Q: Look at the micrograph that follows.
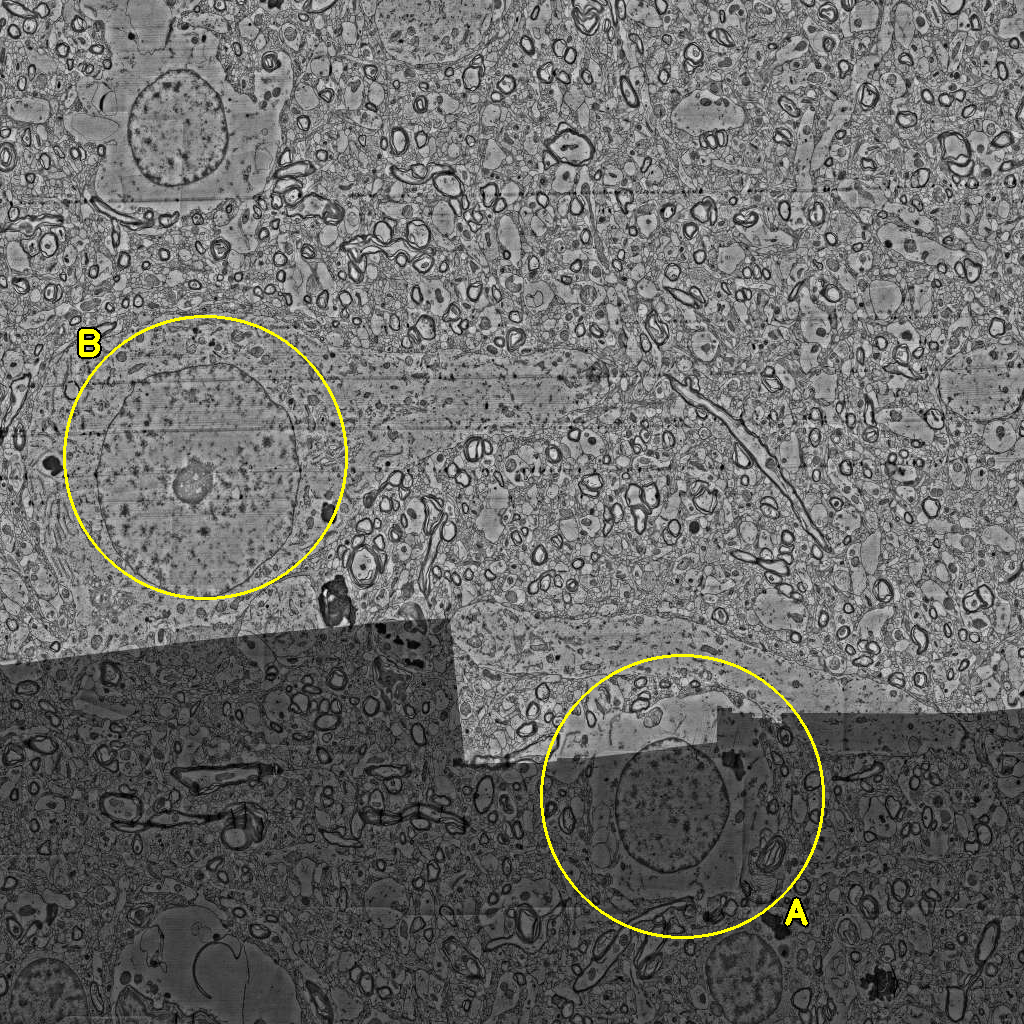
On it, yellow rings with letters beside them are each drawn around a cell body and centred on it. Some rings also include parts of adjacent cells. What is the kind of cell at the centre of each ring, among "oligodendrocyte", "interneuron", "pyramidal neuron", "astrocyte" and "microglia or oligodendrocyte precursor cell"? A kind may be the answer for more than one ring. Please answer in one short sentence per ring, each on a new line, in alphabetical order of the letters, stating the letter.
Ring A surrounds the cell body of an astrocyte.
Ring B surrounds the cell body of a pyramidal neuron.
